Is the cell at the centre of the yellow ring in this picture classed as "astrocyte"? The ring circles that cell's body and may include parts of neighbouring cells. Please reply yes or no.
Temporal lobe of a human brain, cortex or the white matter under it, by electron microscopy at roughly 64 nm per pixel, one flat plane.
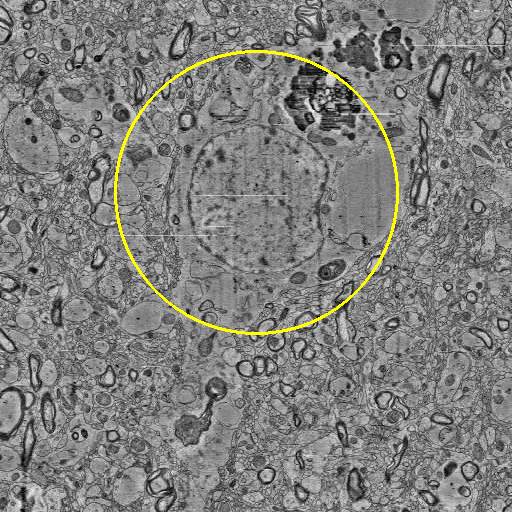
Yes, it is of that kind.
